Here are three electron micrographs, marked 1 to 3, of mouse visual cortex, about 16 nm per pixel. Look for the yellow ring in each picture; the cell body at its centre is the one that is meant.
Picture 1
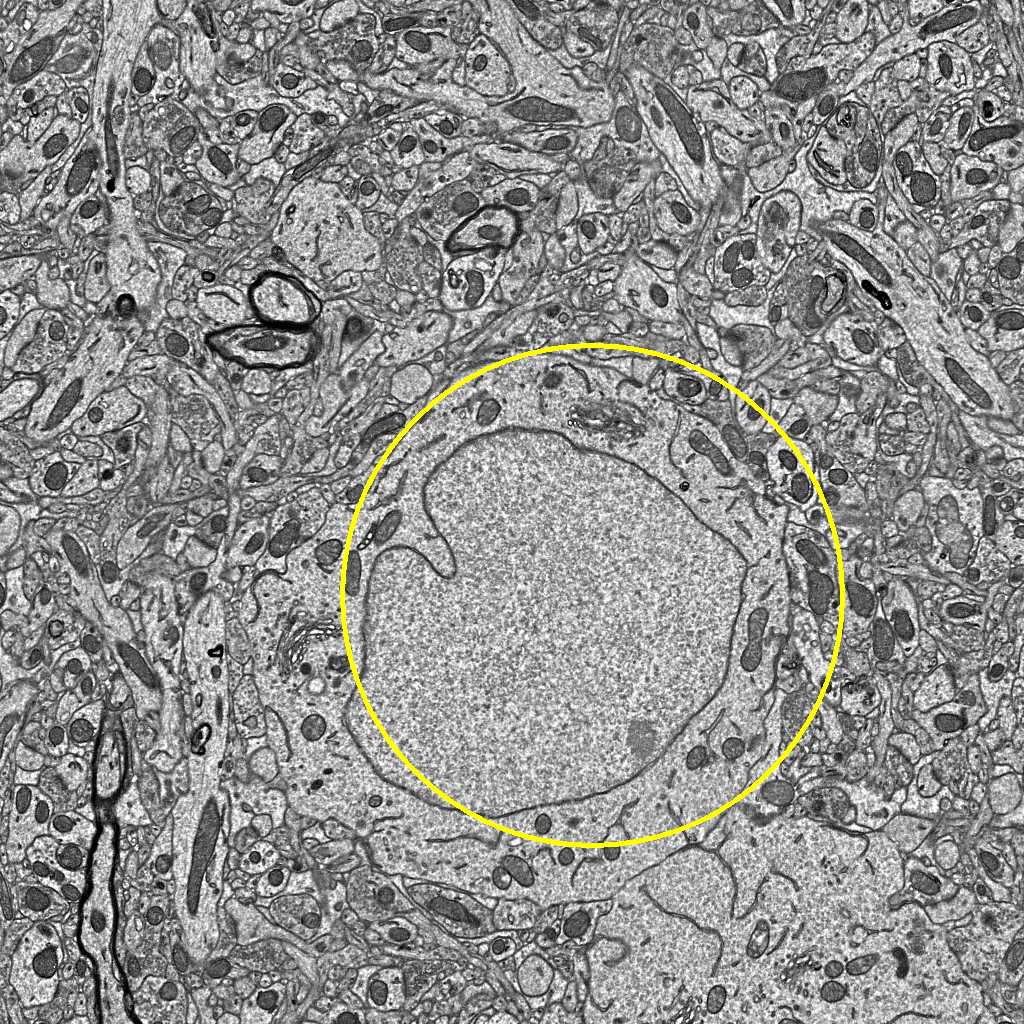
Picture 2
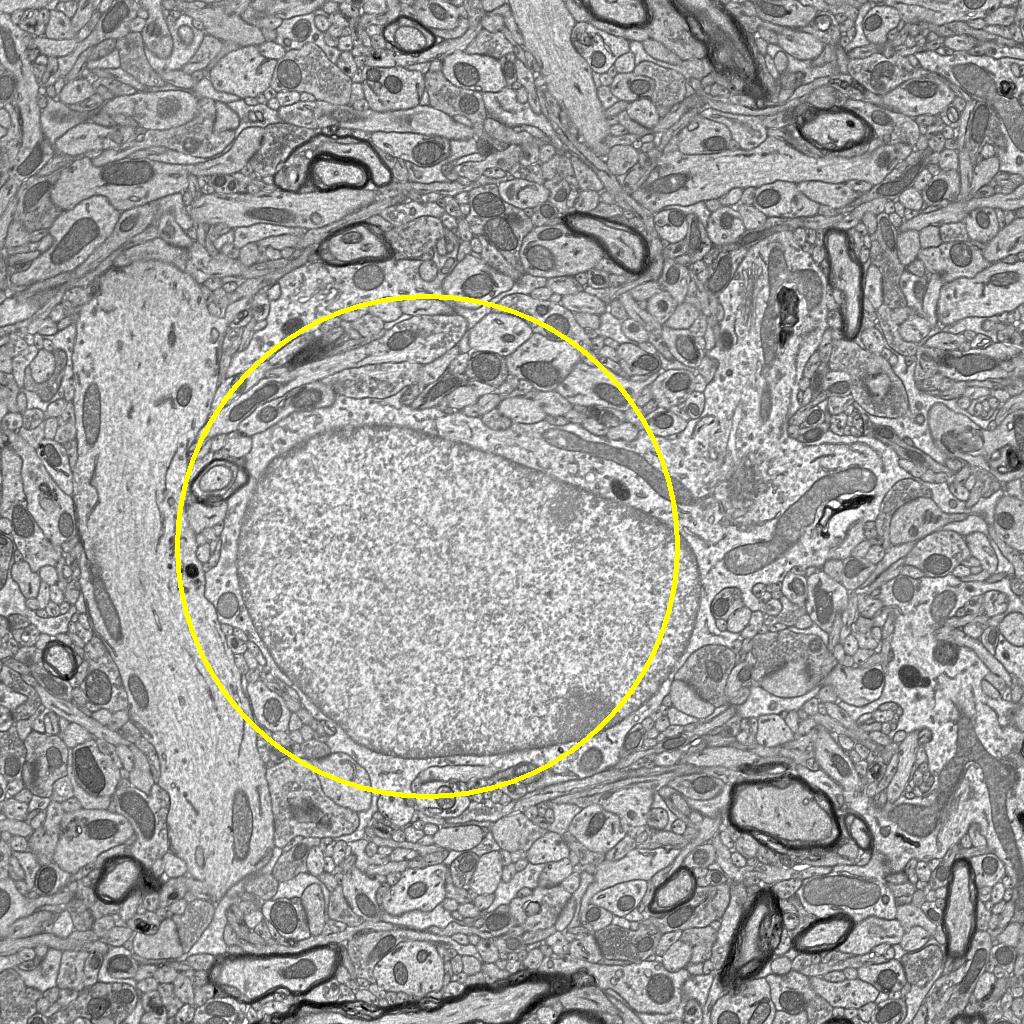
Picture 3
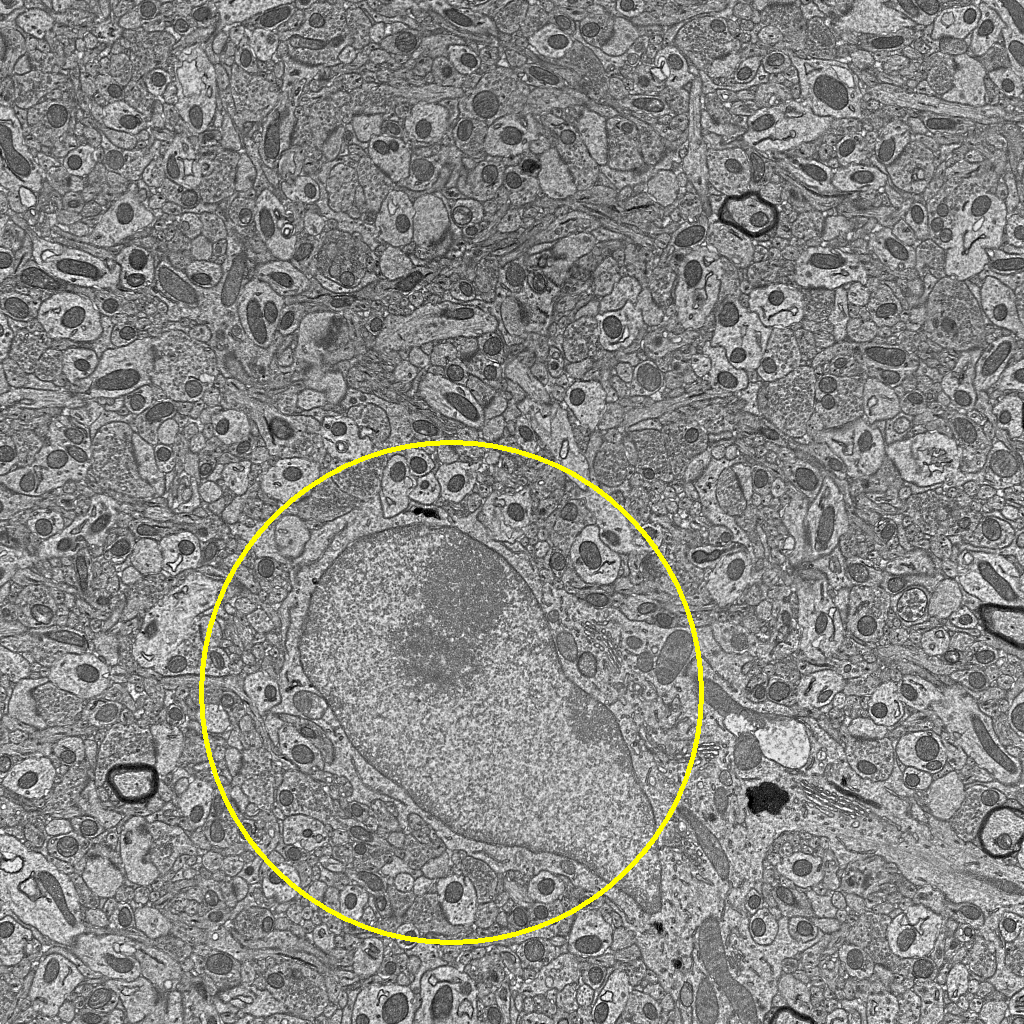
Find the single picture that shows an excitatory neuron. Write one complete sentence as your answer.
Picture 1 shows the excitatory neuron.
